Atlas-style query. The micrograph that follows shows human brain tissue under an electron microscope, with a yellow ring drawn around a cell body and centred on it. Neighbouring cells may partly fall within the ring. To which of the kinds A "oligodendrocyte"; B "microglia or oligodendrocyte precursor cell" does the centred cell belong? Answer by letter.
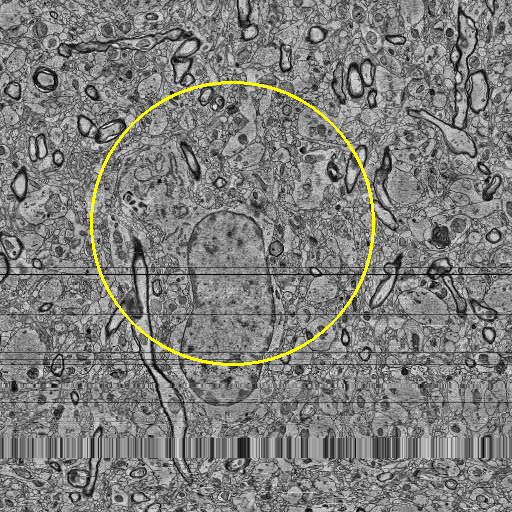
B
